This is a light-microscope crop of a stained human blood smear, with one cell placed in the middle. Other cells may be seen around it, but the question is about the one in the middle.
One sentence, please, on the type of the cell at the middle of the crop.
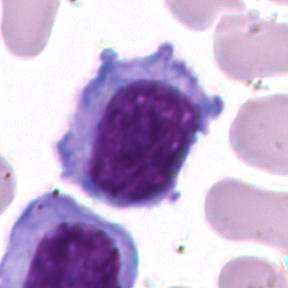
The cell centred in this crop is categorized as a plasma cell.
